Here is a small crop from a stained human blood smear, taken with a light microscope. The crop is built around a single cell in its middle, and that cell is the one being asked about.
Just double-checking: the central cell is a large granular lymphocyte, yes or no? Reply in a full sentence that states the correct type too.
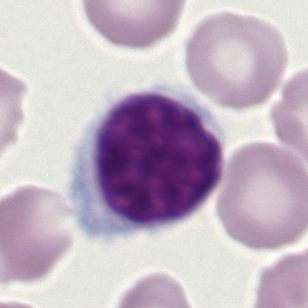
No, the centre of the crop contains a hairy cell rather than a large granular lymphocyte.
